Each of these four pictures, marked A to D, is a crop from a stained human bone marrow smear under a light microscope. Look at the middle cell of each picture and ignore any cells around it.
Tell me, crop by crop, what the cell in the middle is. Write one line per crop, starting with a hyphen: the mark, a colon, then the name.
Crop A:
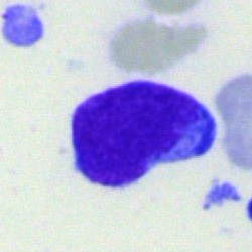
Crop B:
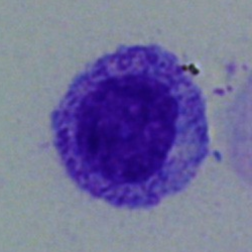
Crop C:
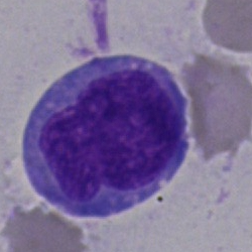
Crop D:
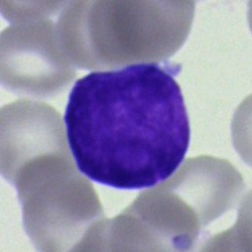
- A: blast
- B: myelocyte
- C: blast
- D: blast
